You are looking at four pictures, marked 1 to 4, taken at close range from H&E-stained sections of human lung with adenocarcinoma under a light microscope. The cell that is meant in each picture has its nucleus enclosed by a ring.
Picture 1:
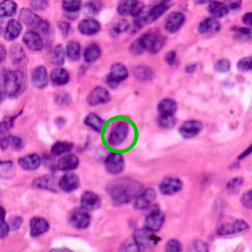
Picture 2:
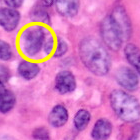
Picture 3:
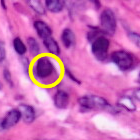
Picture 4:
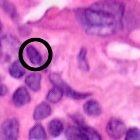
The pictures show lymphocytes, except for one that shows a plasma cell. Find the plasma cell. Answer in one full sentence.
Picture 3 shows the plasma cell.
